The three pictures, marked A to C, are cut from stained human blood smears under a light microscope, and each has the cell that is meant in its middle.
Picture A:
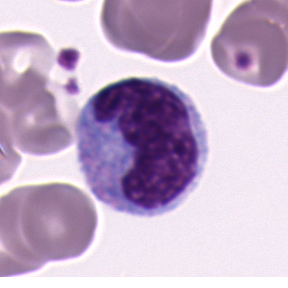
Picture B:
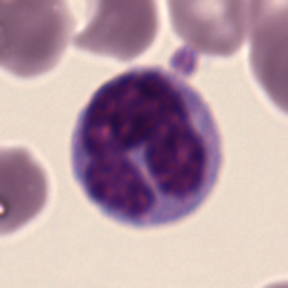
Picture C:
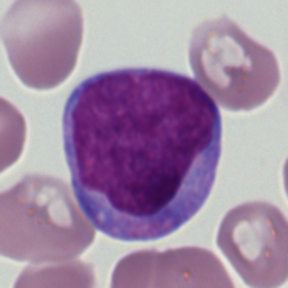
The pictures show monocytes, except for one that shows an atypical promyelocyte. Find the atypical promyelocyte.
C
